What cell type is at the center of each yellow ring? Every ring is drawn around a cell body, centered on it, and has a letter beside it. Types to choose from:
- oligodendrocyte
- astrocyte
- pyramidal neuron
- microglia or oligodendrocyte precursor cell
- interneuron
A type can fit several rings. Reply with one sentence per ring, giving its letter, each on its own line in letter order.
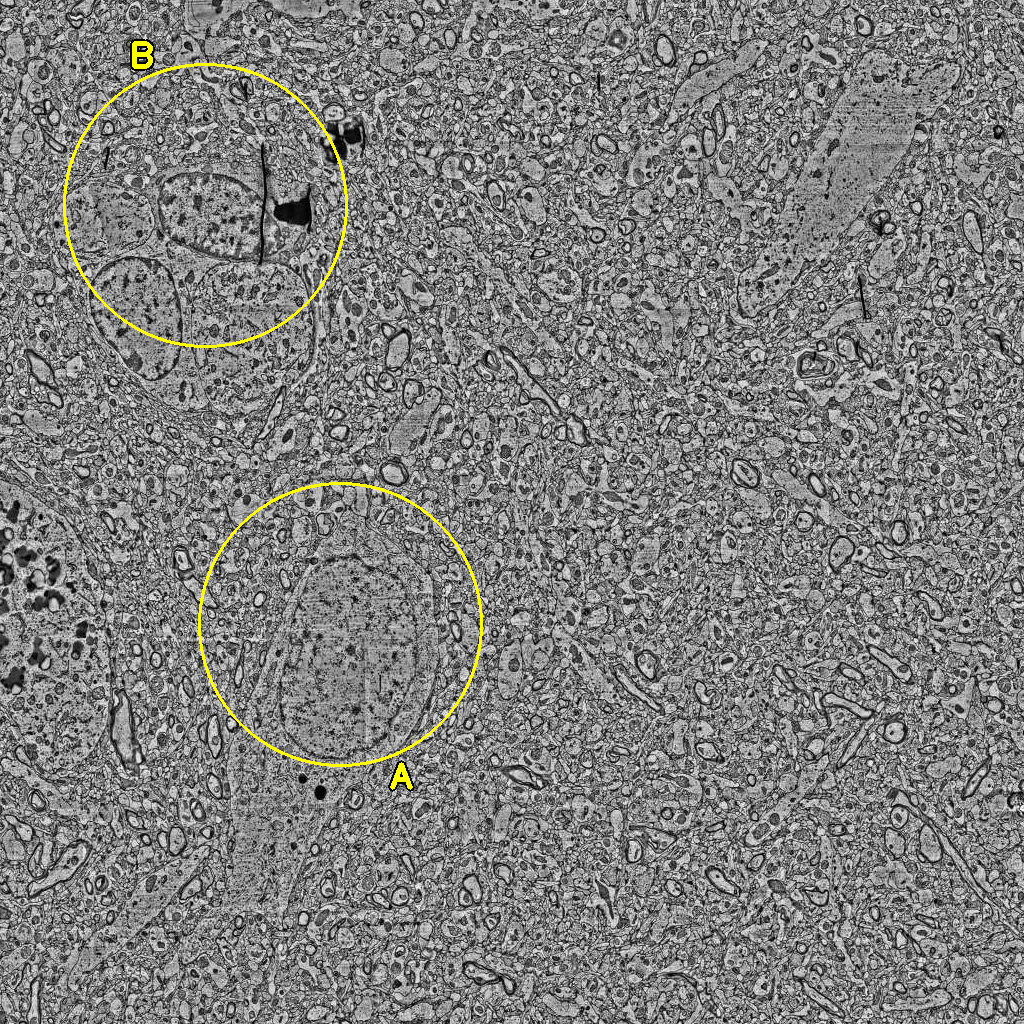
Ring A is placed around an interneuron.
Ring B is placed around an oligodendrocyte.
